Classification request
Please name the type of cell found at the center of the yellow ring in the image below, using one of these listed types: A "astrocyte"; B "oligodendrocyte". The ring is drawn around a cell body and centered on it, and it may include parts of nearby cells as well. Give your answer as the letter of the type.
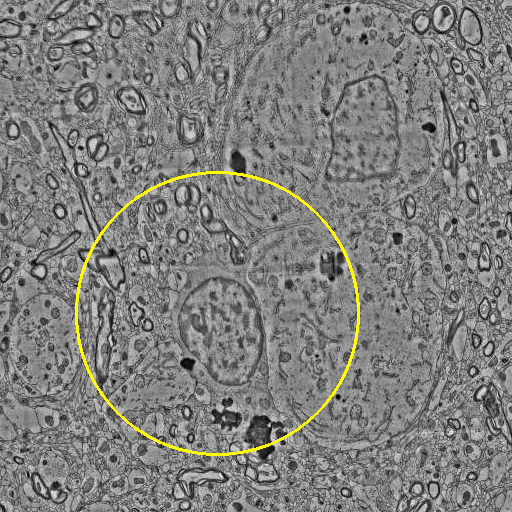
B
